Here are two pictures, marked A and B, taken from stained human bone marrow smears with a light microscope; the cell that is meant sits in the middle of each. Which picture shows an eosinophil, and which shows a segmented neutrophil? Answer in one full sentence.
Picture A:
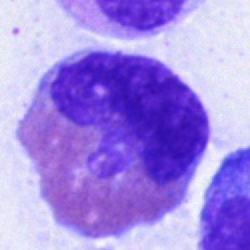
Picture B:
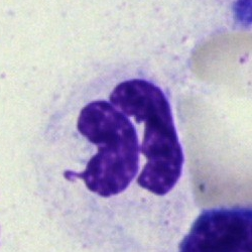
The cell in picture A is an eosinophil, and the one in picture B is a segmented neutrophil.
